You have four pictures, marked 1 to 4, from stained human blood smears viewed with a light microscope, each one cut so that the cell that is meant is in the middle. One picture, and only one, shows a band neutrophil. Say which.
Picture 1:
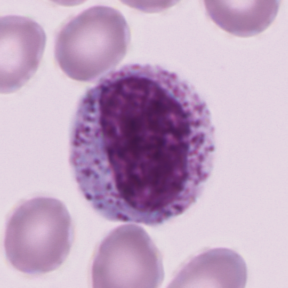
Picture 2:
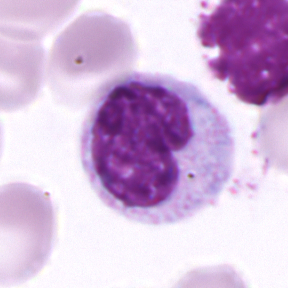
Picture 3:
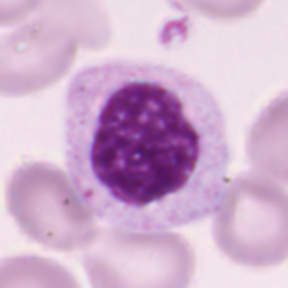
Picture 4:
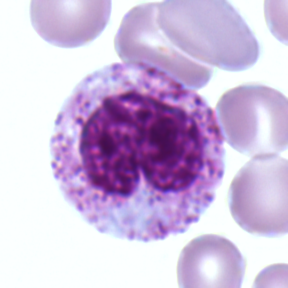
4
